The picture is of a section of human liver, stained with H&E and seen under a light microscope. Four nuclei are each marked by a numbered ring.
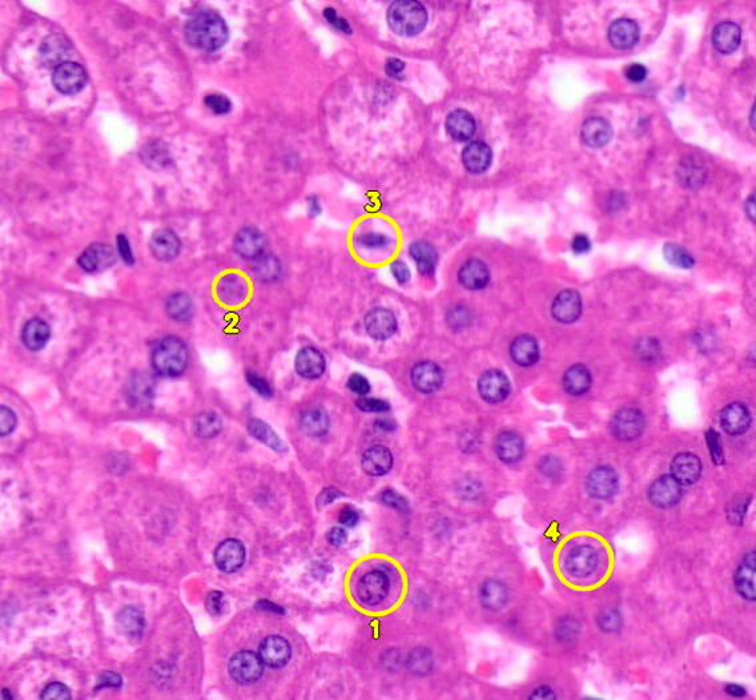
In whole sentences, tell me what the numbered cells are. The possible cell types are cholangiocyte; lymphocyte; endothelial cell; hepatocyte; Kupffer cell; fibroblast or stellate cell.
Cells 1, 2 and 4 are hepatocytes. Cell 3 is a lymphocyte.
